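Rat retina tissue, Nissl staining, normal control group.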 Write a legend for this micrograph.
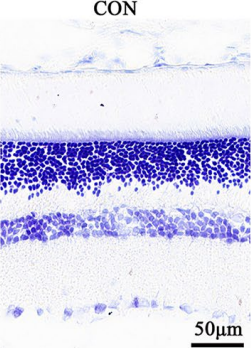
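A thick band of small, densely crowded dark nuclei forms the outer nuclear layer, and below a pale gap a thinner inner nuclear layer holds somewhat larger, paler nuclei. Further down a wide, almost unstained layer leads to a sparse single row of ganglion cells at the bottom edge.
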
